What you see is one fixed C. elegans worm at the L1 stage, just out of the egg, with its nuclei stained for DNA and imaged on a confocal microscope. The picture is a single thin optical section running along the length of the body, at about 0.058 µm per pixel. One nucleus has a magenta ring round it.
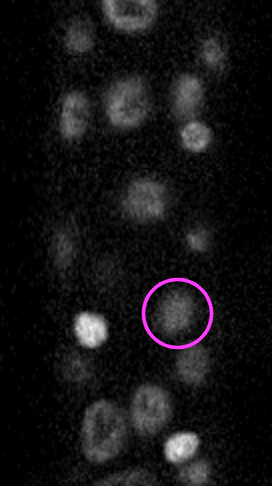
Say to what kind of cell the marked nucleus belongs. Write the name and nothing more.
P cell (ventral epidermal blast cell)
